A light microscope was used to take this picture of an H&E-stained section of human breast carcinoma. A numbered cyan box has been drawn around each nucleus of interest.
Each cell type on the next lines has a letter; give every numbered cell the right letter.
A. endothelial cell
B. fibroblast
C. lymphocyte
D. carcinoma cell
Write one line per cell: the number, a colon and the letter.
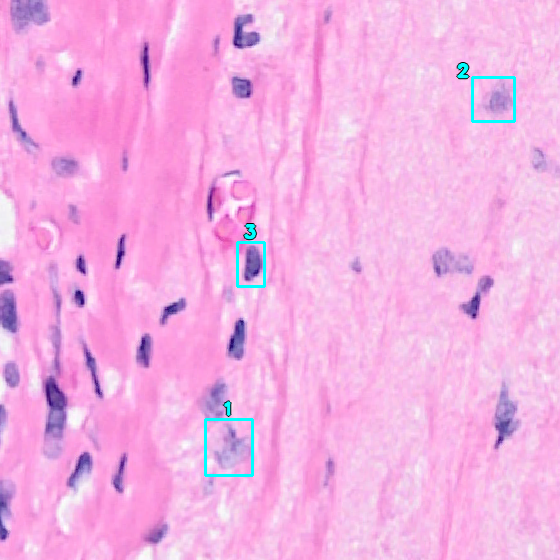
1: B
2: B
3: C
